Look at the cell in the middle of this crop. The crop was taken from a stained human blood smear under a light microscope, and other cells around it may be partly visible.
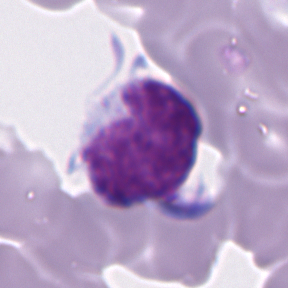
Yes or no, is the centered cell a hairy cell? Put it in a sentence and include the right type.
No, rather than being a hairy cell, the central cell is a typical lymphocyte.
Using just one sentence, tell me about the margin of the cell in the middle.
Ragged or projecting, the border of this cell departs from a smooth contour.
